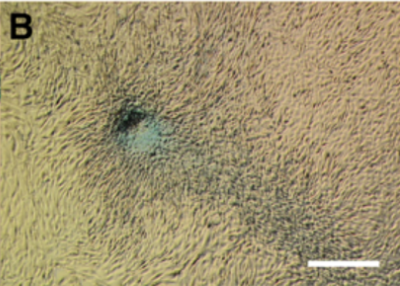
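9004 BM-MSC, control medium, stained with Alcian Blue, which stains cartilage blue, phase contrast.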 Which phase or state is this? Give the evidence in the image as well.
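A flat confluent sheet of spindle-shaped cells fills the field.
Hence: monolayer.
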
